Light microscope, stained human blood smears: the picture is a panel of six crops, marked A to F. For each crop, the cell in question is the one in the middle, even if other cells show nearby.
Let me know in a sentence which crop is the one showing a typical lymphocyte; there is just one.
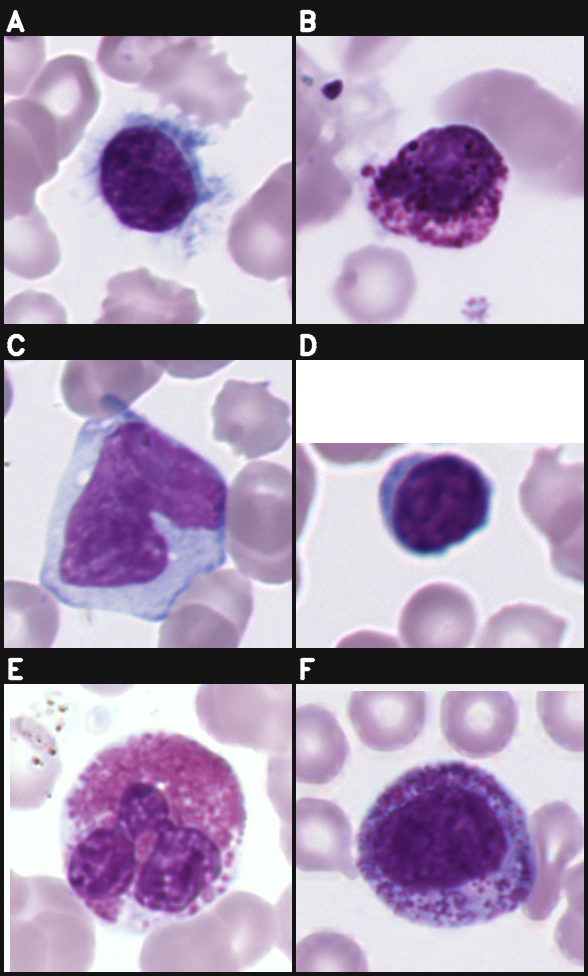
As for which crop shows a typical lymphocyte, it is crop D.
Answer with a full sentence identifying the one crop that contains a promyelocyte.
The one crop that shows a promyelocyte is crop F.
